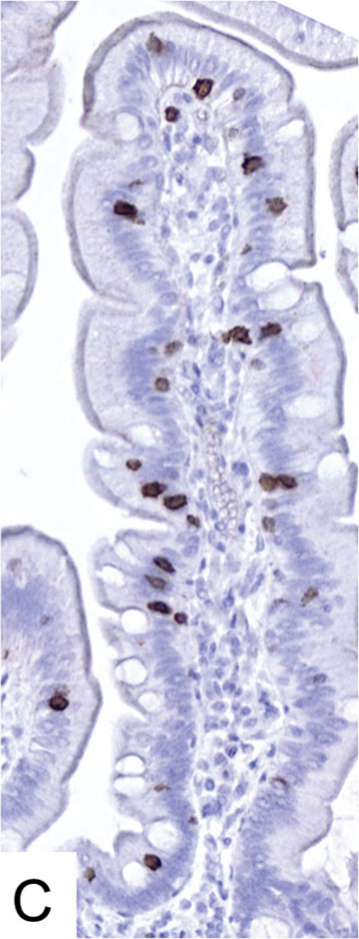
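A small intestinal villus is lined by columnar enterocytes with pale bluish cytoplasm and elongated nuclei, interrupted by clear, rounded goblet cells. Scattered small cells with dense brown staining lie within the epithelial layer, mostly near the base of the enterocytes, and a few occur in the loose lamina propria of the villus core, where small capillaries are visible. Parts of neighbouring villi are seen at the edges.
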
